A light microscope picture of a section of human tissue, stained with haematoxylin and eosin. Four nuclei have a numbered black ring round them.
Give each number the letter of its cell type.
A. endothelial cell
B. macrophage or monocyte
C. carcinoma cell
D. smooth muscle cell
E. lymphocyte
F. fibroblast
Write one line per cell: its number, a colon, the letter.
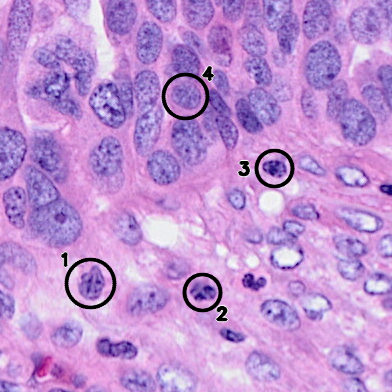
1: B
2: E
3: E
4: C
